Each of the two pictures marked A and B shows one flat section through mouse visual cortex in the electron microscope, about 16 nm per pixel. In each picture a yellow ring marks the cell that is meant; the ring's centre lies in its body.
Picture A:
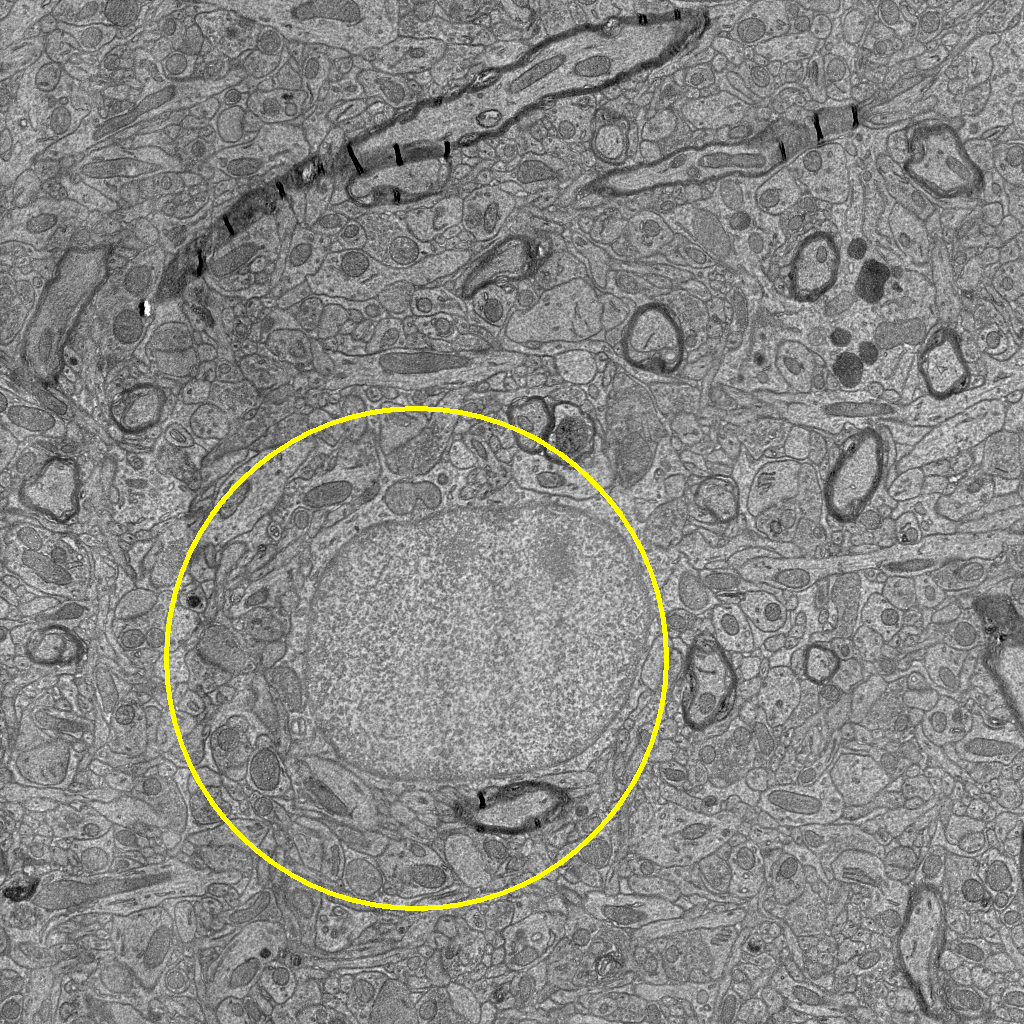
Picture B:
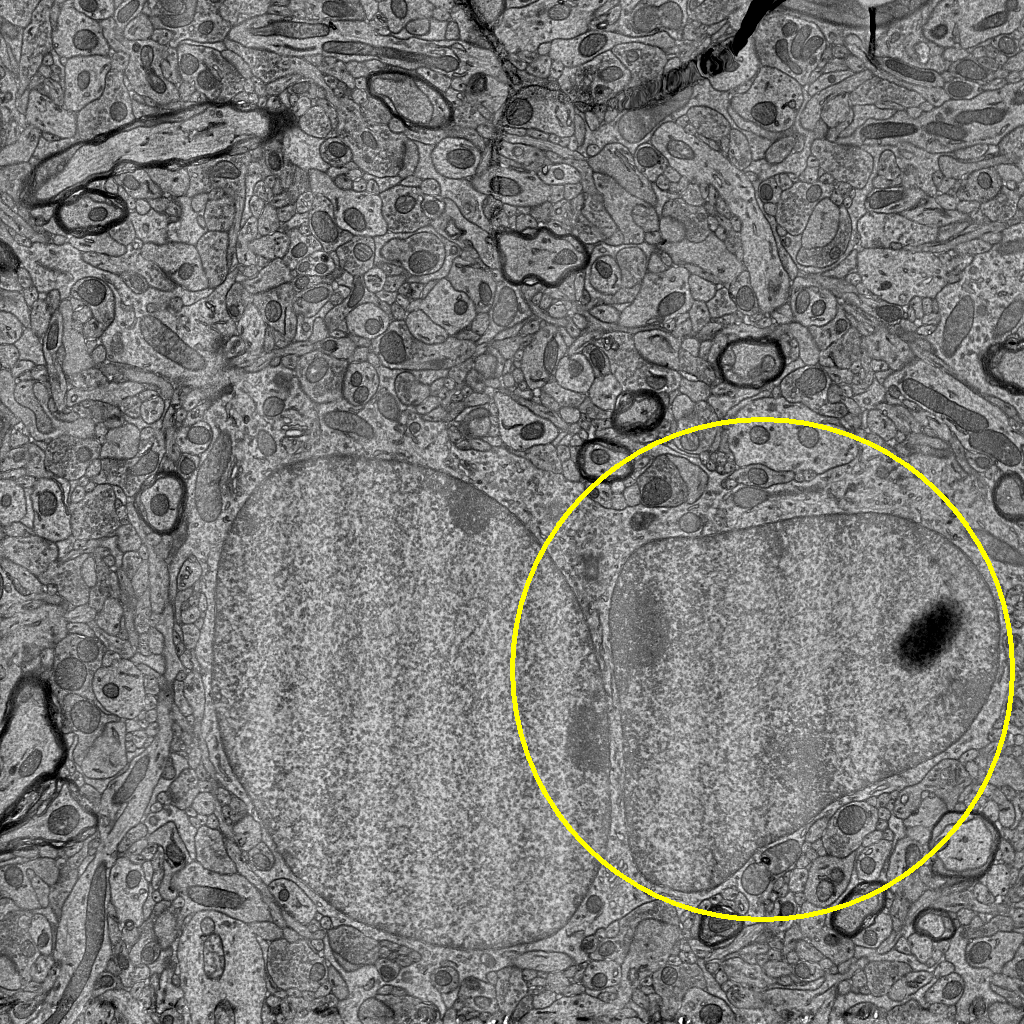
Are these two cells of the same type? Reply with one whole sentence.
Yes; the cells in both pictures are astrocytes.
